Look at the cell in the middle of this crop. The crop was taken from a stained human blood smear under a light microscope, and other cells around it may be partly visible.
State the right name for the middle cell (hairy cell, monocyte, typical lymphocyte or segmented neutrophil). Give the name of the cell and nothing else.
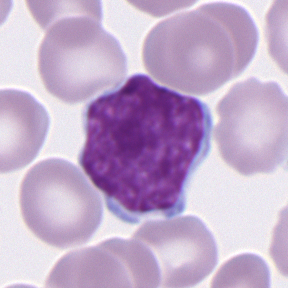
typical lymphocyte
